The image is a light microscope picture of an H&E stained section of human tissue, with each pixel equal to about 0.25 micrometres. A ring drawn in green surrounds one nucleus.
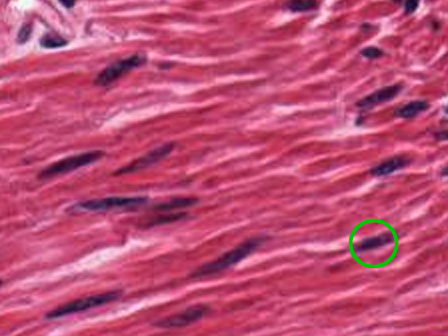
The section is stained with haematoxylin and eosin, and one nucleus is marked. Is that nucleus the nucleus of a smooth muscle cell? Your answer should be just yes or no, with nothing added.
yes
